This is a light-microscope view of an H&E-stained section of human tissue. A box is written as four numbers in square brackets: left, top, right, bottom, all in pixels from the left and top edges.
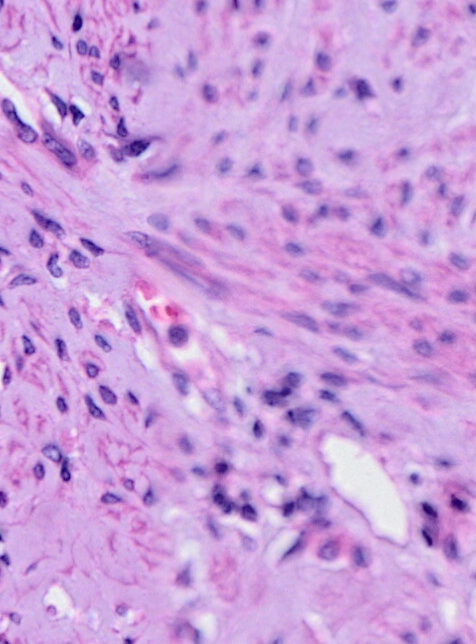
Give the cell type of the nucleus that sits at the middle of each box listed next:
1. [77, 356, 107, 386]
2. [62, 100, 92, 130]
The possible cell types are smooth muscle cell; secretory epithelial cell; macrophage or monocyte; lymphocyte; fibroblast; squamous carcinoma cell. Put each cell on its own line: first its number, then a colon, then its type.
1: smooth muscle cell
2: lymphocyte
